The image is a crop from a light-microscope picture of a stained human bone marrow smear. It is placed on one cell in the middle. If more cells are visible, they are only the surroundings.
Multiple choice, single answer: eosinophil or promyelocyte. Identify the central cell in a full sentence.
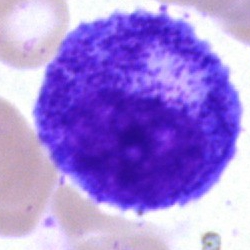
Centred in the crop is a promyelocyte.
